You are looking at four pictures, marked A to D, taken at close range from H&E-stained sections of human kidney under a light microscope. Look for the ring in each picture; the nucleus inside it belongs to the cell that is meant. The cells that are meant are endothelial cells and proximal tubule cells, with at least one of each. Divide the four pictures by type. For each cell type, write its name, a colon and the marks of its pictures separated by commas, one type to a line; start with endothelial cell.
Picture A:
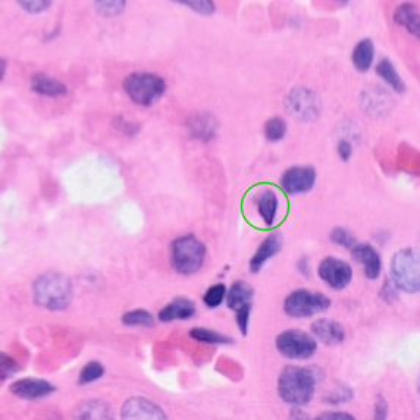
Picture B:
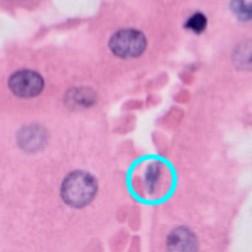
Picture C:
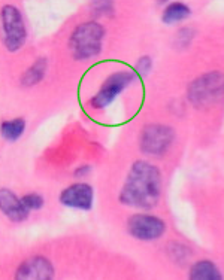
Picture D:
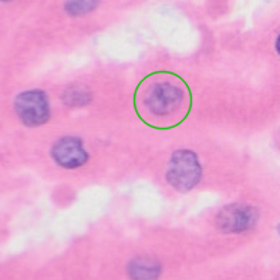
endothelial cell: A, B, C
proximal tubule cell: D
